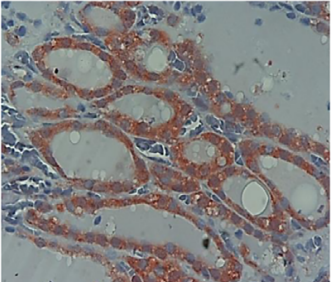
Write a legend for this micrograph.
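Normal thyroid tissue made of follicles of varied size, each lined by a single layer of cuboidal follicular cells. The lumens hold pale grey-blue colloid, some with small clear vacuoles at the edge. The lining cells have round blue nuclei and cytoplasm heavily stained red-brown with a granular look, so each follicle appears as a brown ring around its colloid. Between follicles lies a thin, pale stroma with scattered small, elongated blue nuclei that are unstained. The follicles are packed closely, some elongated, and the brown staining is confined to the epithelial lining.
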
